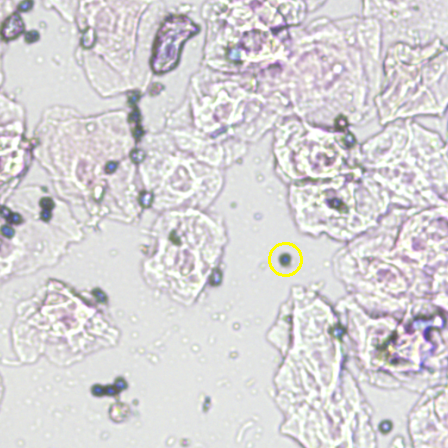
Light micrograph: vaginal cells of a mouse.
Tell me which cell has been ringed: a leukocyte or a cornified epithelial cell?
It is a leukocyte.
